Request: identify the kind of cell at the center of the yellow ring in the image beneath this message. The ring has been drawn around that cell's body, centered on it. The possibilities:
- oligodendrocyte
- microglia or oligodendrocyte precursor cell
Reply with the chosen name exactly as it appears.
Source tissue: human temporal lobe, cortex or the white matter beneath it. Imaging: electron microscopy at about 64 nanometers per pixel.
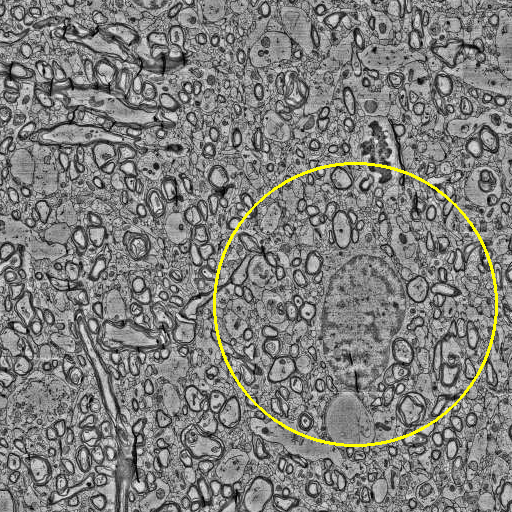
oligodendrocyte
